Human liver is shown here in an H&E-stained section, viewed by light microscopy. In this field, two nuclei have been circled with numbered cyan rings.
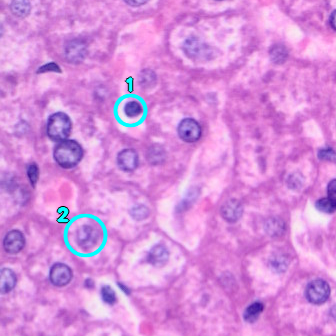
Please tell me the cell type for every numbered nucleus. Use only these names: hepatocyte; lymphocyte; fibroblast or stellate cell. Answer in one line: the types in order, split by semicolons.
lymphocyte; hepatocyte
